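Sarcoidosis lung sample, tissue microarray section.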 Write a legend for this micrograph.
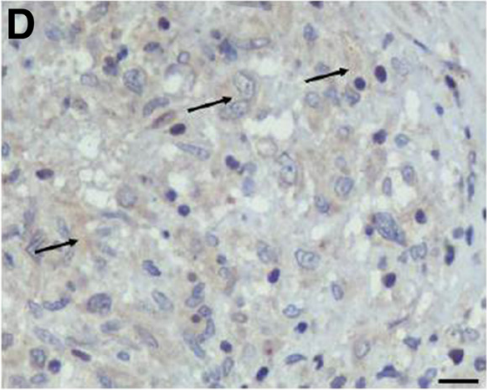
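Epithelioid cells within a granuloma at high magnification. The cells lie packed in a sheet with indistinct borders. Their nuclei are large, oval to elongated or slightly bent, pale and vesicular with fine chromatin. Their cytoplasm is abundant, pale, with a faint diffuse light-brown tint. Scattered among them are smaller cells with small, round, dense dark-blue nuclei. Small clear vacuole-like spaces are seen between the cells. No necrosis is seen in the field.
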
